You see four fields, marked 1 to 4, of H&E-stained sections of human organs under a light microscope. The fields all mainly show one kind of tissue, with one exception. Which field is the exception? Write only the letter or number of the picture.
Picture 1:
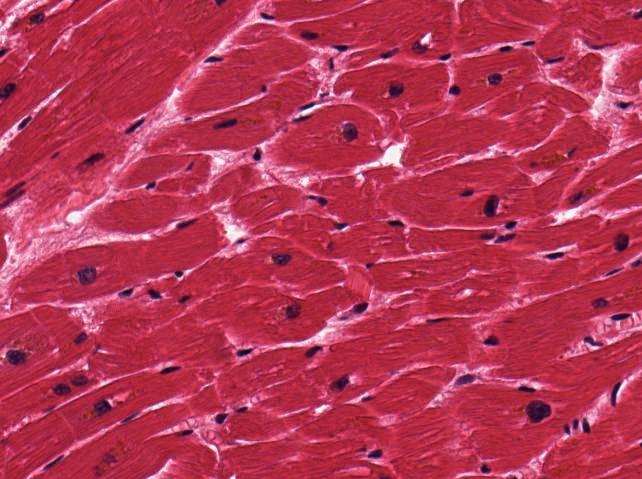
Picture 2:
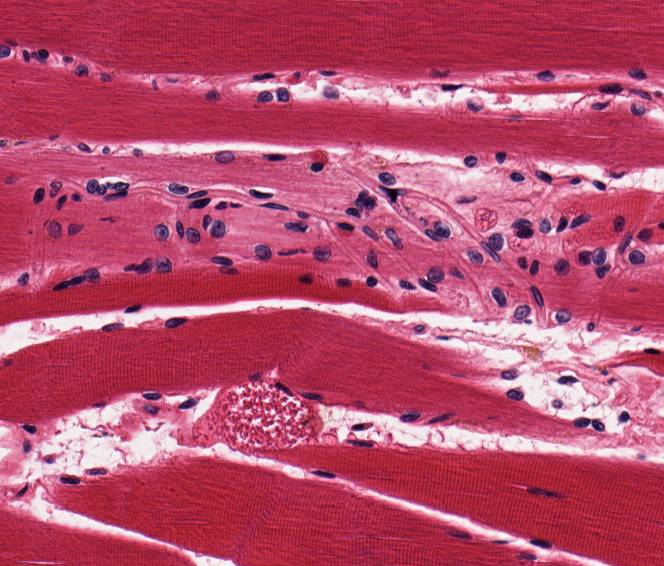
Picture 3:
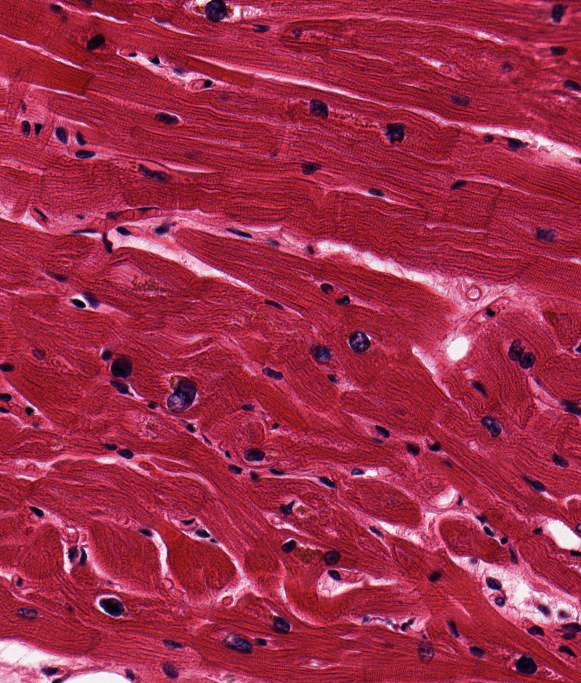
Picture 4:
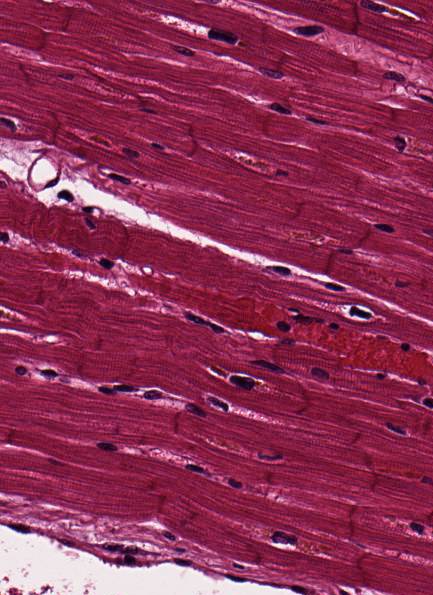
2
